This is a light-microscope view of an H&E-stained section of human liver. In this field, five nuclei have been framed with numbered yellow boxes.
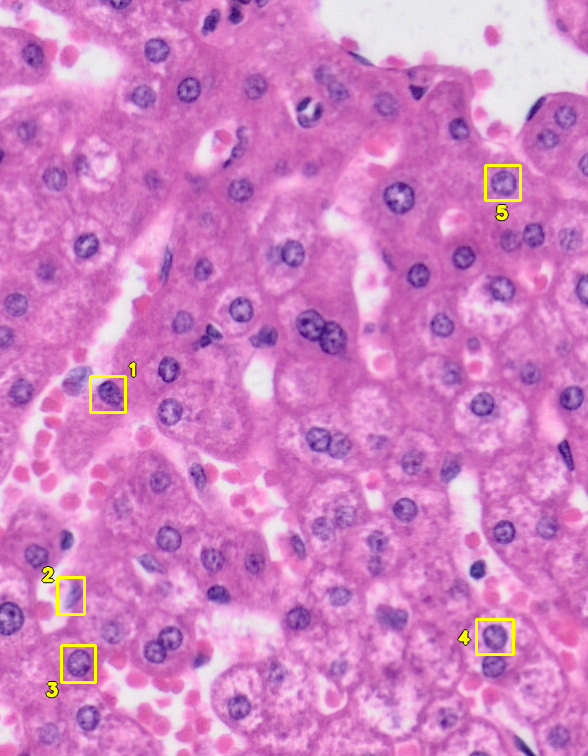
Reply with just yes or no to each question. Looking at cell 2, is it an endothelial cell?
yes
